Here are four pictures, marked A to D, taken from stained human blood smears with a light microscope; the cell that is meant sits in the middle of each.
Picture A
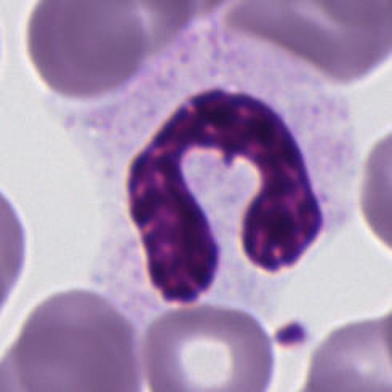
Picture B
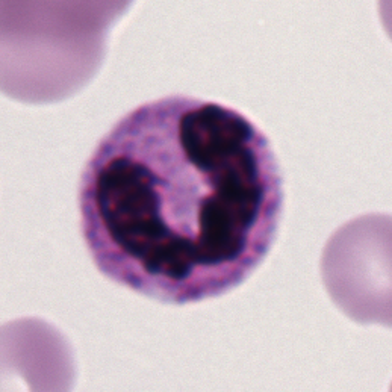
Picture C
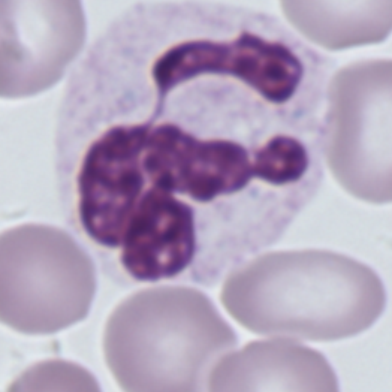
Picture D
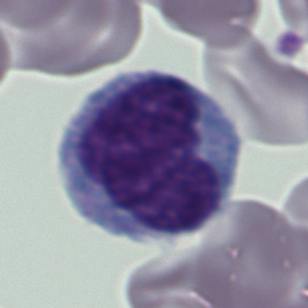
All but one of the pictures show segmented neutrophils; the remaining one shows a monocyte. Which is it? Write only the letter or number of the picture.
D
